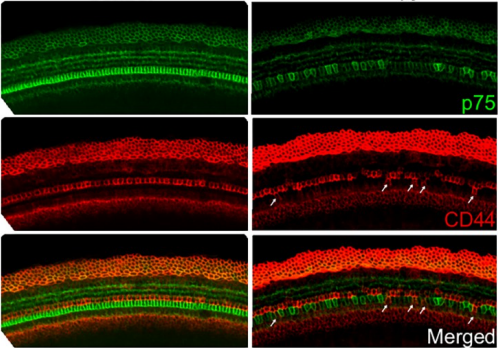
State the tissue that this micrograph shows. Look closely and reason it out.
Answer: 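A curved, band-like sheet of epithelium seen flat from above. Parallel rows of cells run along the length of the curved band. A mosaic of polygonal cell outlines fills the band on one side.
Cochlear epithelium.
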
